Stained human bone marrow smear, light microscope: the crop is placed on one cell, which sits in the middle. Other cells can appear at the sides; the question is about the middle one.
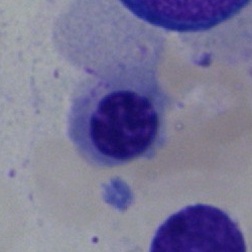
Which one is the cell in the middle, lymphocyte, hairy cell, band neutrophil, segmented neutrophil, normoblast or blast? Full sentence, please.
The cell at the middle of the crop is recognized as a normoblast.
